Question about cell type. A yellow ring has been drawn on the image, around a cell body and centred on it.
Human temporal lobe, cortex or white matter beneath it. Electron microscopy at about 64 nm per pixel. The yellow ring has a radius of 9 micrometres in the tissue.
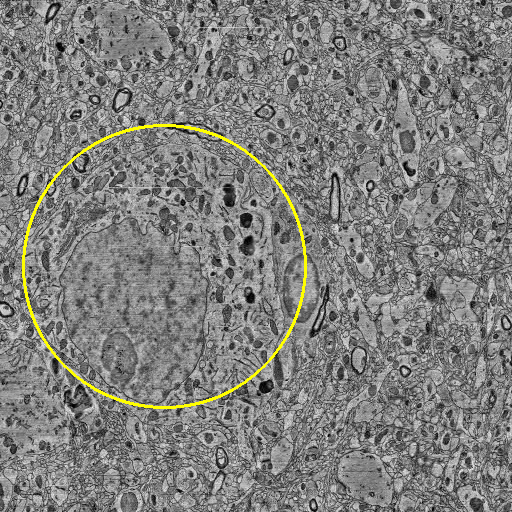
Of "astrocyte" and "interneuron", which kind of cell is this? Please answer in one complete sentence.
At the centre of the ring lies an interneuron.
